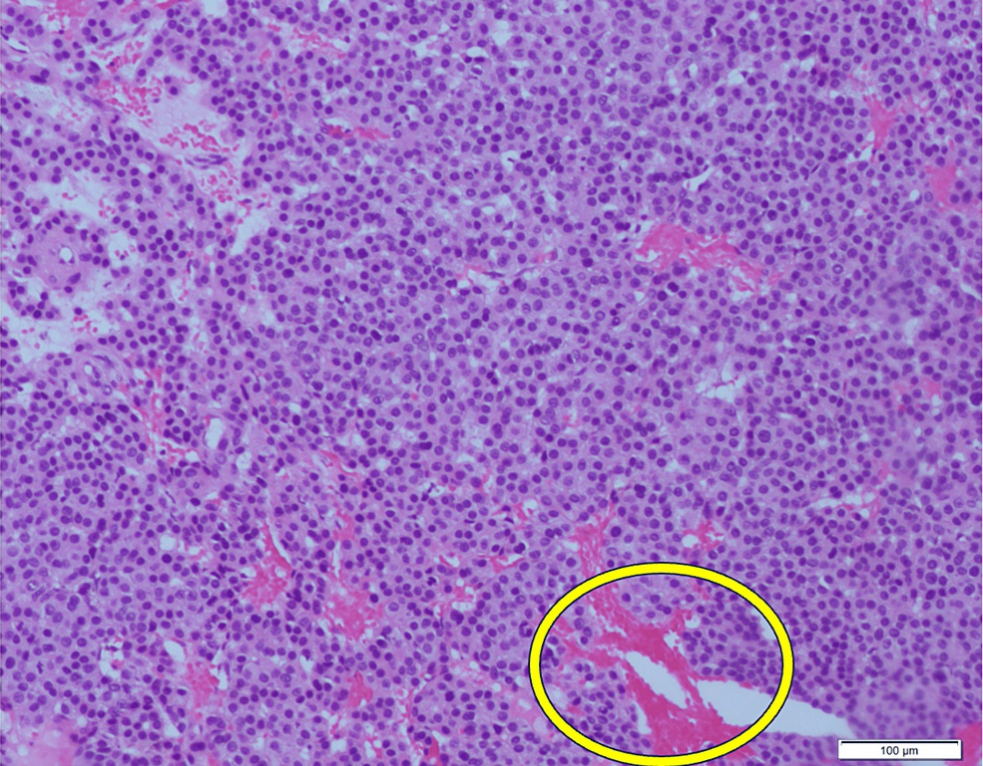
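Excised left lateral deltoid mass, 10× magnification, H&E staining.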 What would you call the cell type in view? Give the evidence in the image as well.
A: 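Glomus tumor cells. Dense sheets of uniform, round cells fill the field. Each cell has a round, dark purple, centrally placed nucleus. The cytoplasm is pale pink. Small pink-filled vascular spaces are scattered between the sheets.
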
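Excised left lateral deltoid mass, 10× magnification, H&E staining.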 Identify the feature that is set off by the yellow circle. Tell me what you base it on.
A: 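An elongated, slit-like clear space runs through the circled area. Bright pink material lines and surrounds the clear space. Sheets of round cells come right up to it. That points to this answer: blood vessel.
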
